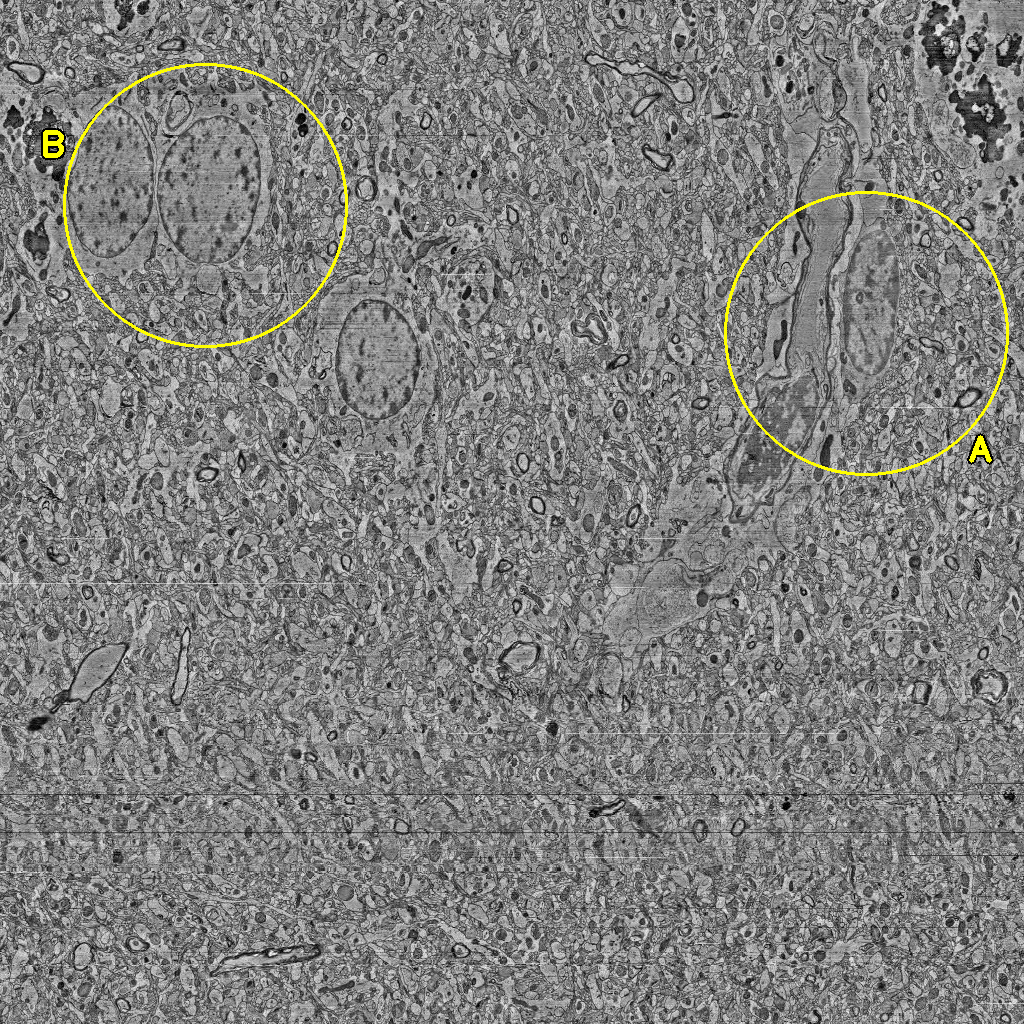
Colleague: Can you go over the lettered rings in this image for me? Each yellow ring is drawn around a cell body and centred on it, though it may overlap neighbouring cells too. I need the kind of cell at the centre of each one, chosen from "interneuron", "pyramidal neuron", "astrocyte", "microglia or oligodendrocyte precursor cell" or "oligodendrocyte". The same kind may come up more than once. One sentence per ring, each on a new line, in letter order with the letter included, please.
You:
Ring A marks the cell body of an oligodendrocyte.
Ring B marks the cell body of an astrocyte.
